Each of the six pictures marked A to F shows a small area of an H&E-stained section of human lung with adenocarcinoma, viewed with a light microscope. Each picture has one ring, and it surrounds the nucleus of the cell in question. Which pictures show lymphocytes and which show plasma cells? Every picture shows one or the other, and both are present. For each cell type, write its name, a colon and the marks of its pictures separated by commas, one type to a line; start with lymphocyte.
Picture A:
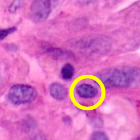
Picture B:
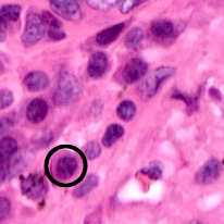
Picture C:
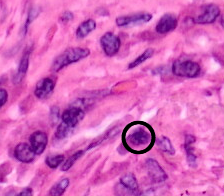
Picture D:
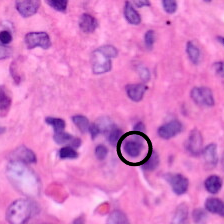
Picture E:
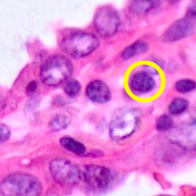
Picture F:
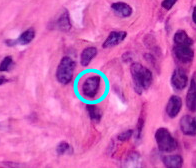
lymphocyte: A, D, E
plasma cell: B, C, F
